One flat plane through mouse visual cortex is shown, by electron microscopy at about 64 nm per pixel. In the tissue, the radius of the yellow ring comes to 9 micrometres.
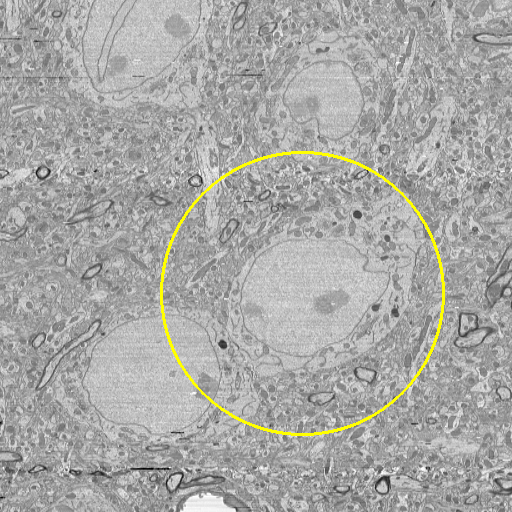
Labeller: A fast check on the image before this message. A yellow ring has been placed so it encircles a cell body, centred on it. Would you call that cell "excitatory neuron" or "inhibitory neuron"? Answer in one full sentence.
In this image, an excitatory neuron is the cell on which the yellow ring is centred.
